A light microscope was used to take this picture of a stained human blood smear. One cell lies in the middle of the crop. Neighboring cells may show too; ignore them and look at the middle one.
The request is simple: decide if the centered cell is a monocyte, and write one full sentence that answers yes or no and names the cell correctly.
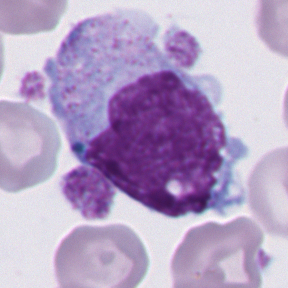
Yes, that is right: the middle cell is a monocyte.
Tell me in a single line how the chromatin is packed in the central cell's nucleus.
Thanks for asking; the chromatin is coarsely clumped.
